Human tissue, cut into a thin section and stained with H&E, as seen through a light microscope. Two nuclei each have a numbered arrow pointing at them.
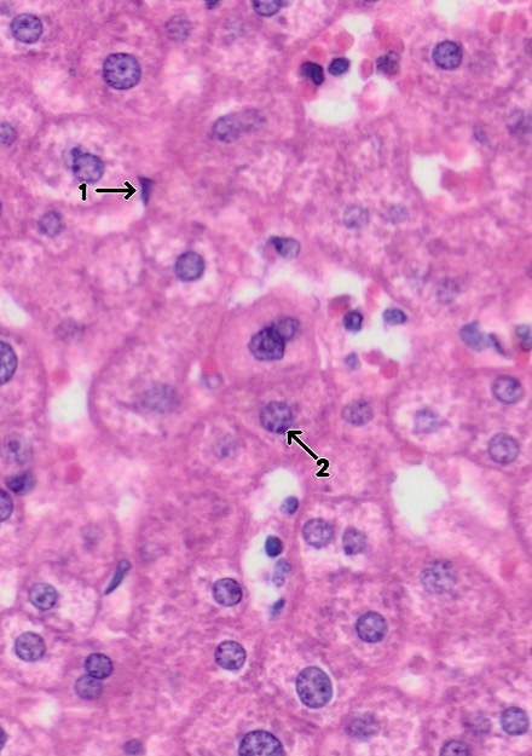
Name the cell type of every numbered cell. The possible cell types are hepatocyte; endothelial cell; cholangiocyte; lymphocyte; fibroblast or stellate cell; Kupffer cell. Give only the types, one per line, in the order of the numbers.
endothelial cell
hepatocyte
